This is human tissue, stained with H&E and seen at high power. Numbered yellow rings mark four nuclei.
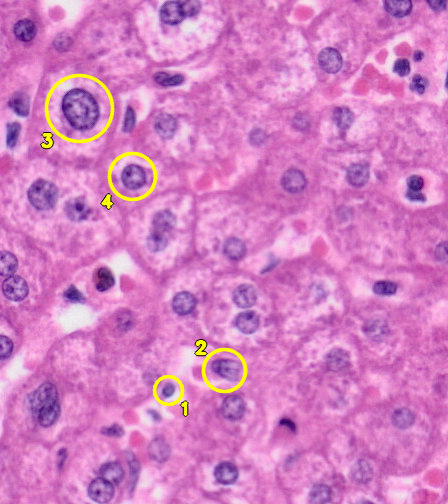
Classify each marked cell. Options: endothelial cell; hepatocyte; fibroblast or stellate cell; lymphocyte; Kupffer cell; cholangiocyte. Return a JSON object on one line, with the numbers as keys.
{"1": "lymphocyte", "2": "Kupffer cell", "3": "hepatocyte", "4": "hepatocyte"}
